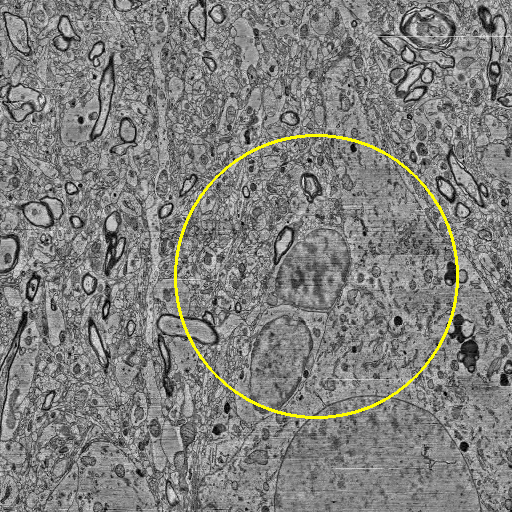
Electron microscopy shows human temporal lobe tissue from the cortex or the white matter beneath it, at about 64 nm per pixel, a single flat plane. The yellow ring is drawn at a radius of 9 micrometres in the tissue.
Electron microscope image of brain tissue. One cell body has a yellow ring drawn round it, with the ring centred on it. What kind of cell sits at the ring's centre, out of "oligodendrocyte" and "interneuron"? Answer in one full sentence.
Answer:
It is an oligodendrocyte whose cell body sits at the centre of the yellow ring.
